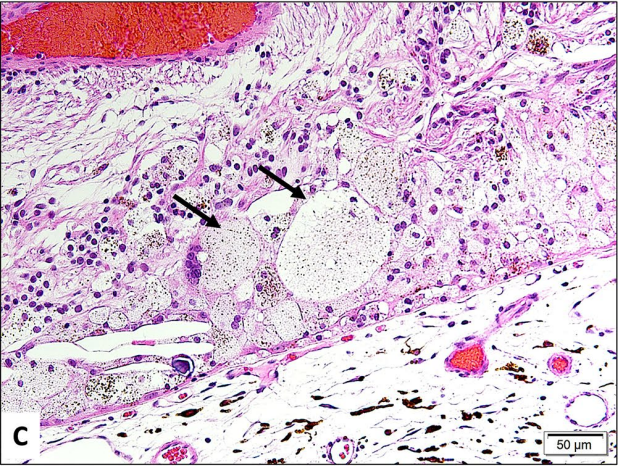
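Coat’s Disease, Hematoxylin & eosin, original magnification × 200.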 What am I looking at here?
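Within the retina lie clusters of large foamy macrophages with abundant pale, finely vacuolated cytoplasm. Some of these cells contain coarse brown granules, and one large cell holds several dark nuclei gathered together. Between them are scattered small cells with round, dark nuclei. At the upper left, a blood vessel is filled with red blood cells. Below the cellular layer lies a loose, pale fibrous layer with small vessels and elongated brown pigmented cells.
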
